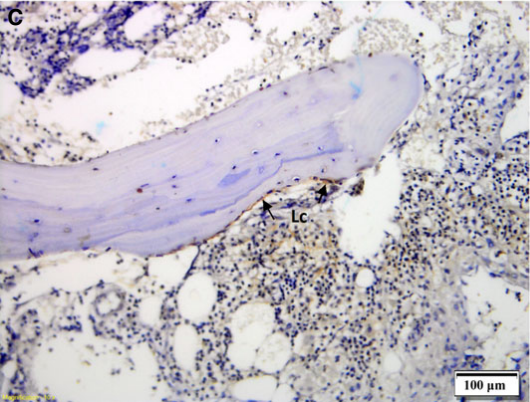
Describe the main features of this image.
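A long bone trabecula is bordered on its lower surface by thin, flattened lining cells that carry a faint brown stain. The trabecula is pale purple with small scattered nuclei in its matrix. Around it, the marrow is crowded with many small round cells with dark blue nuclei, mixed with empty round fat spaces.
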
